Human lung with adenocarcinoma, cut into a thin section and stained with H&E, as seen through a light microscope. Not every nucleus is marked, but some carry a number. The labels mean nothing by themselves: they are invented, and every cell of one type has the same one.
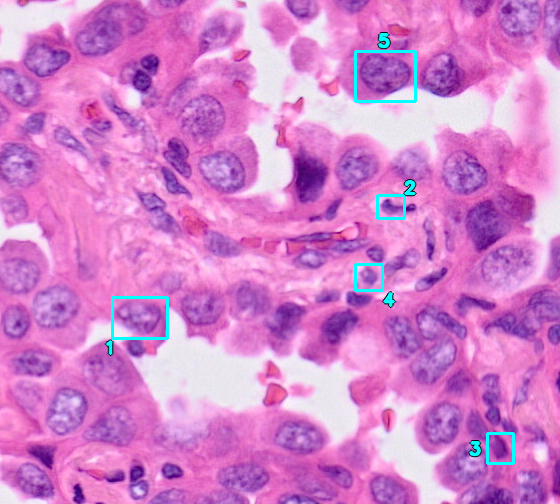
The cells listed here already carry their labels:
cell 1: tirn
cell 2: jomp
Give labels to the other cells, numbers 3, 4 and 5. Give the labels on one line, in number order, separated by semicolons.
tirn; jomp; tirn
